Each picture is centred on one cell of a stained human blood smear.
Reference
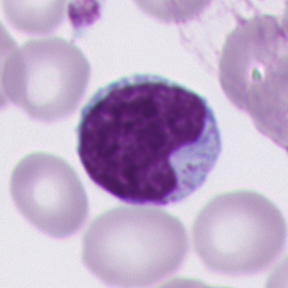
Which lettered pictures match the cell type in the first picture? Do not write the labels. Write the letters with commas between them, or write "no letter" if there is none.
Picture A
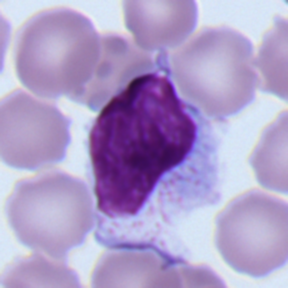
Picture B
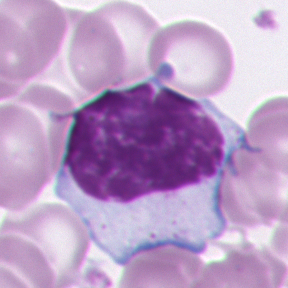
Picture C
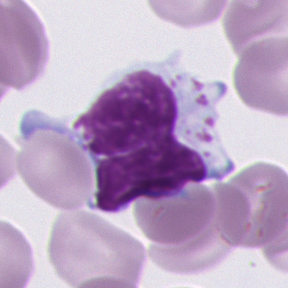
A, B, C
